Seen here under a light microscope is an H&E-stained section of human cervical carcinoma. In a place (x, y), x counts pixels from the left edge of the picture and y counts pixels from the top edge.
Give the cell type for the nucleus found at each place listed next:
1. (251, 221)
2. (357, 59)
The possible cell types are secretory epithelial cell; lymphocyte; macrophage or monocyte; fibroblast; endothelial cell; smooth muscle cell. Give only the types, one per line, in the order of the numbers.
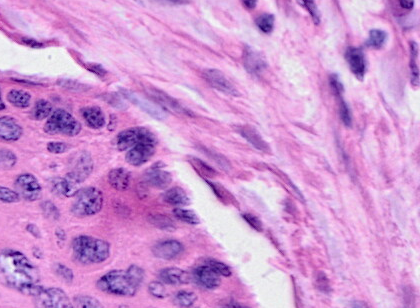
fibroblast
lymphocyte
